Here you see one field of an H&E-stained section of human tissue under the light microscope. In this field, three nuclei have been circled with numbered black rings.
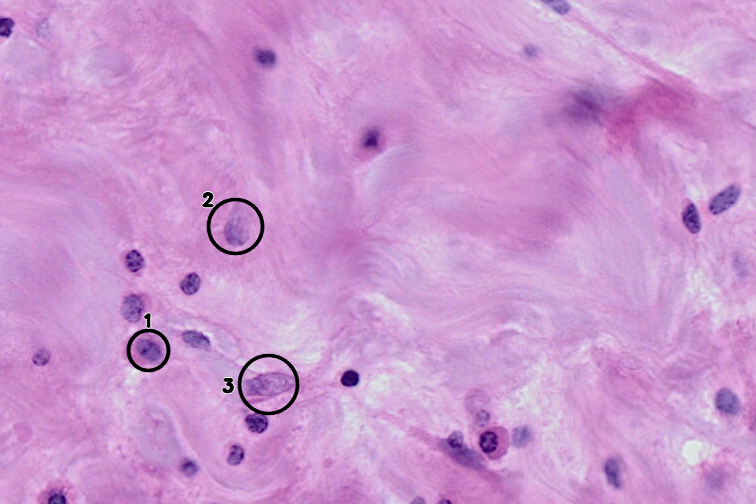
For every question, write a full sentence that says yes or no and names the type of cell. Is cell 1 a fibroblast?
No, as for cell 1, it is a mast cell and not a fibroblast.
